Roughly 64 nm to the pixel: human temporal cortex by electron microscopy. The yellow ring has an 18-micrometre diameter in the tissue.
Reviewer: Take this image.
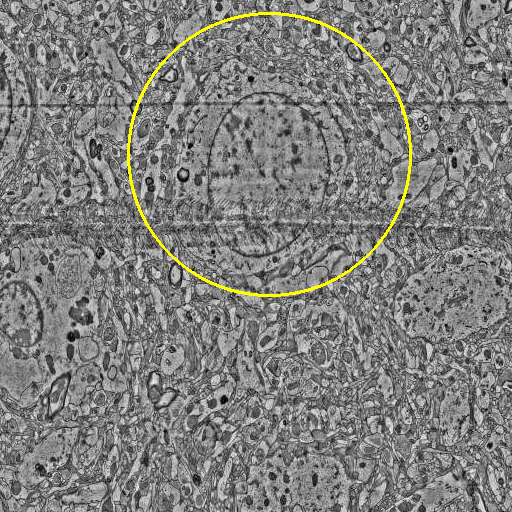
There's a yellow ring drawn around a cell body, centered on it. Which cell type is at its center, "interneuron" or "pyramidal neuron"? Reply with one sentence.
At the center of the yellow ring is a pyramidal neuron.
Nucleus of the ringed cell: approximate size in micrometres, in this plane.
The ringed cell's nucleus is about 11 micrometres long and 8 micrometres wide in this plane.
